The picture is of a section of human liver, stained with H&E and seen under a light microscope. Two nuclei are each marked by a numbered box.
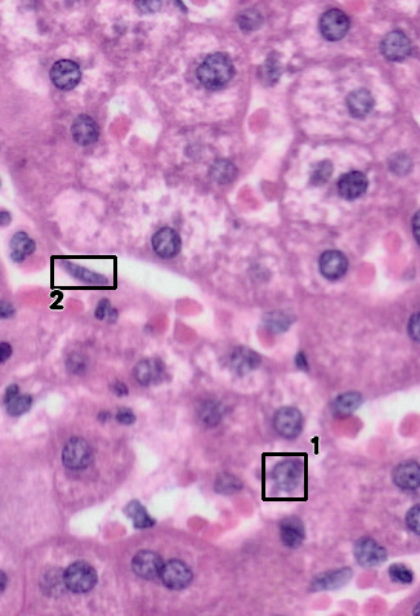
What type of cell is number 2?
Kupffer cell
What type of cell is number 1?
hepatocyte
